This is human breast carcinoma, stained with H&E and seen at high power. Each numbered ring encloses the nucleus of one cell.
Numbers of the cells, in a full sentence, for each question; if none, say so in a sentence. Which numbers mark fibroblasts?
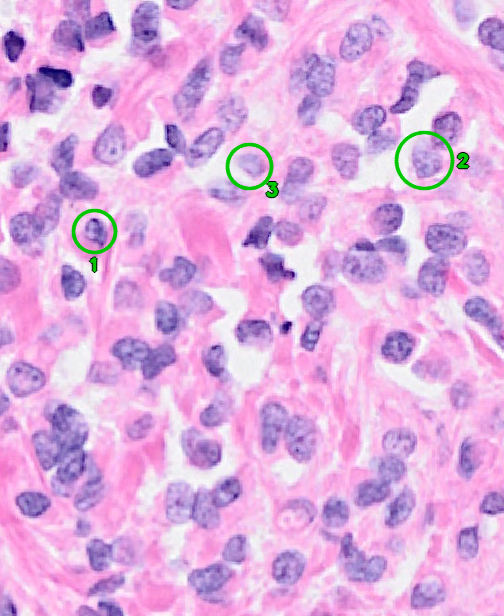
None of the cells bearing numbers are fibroblasts.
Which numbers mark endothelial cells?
Cell 1 is an endothelial cell, and this holds for no other numbered cell.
